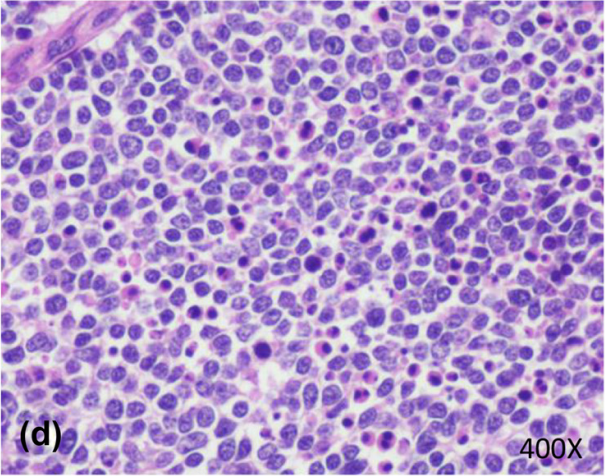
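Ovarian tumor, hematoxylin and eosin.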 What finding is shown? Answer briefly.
Scant cytoplasm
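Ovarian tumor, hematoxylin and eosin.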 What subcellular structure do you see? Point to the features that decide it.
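Nuclei stain deep purple. Nuclei are round to oval, some elongated. Nucleoli are not prominent.
Conclusion: hyperchromatic nuclei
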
